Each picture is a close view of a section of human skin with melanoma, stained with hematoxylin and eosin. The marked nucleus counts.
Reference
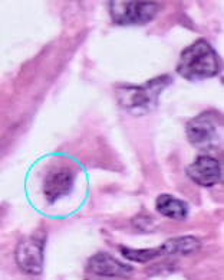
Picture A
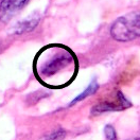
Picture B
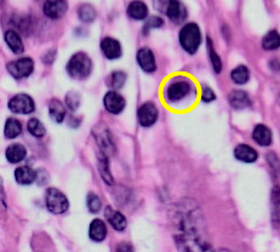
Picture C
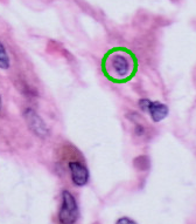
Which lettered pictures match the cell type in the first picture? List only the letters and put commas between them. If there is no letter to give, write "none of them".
A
